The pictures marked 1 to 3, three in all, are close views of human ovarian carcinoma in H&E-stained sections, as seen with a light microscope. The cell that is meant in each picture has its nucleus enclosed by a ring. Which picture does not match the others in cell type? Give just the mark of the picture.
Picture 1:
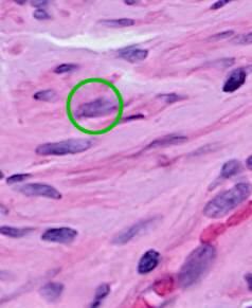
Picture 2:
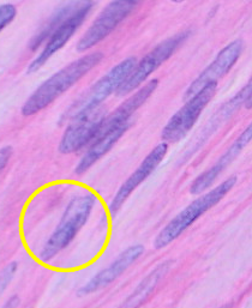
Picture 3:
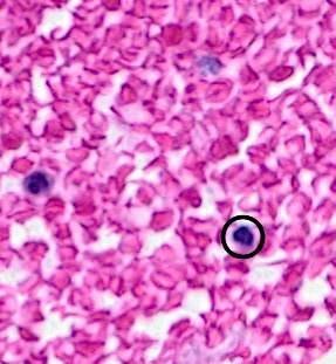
3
